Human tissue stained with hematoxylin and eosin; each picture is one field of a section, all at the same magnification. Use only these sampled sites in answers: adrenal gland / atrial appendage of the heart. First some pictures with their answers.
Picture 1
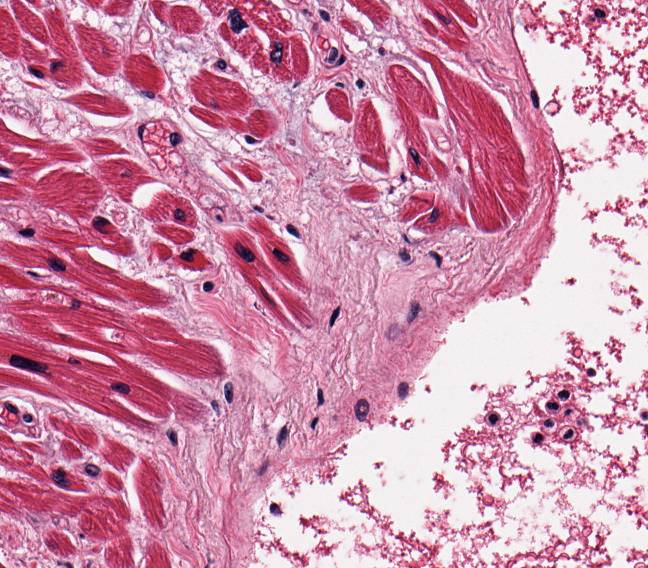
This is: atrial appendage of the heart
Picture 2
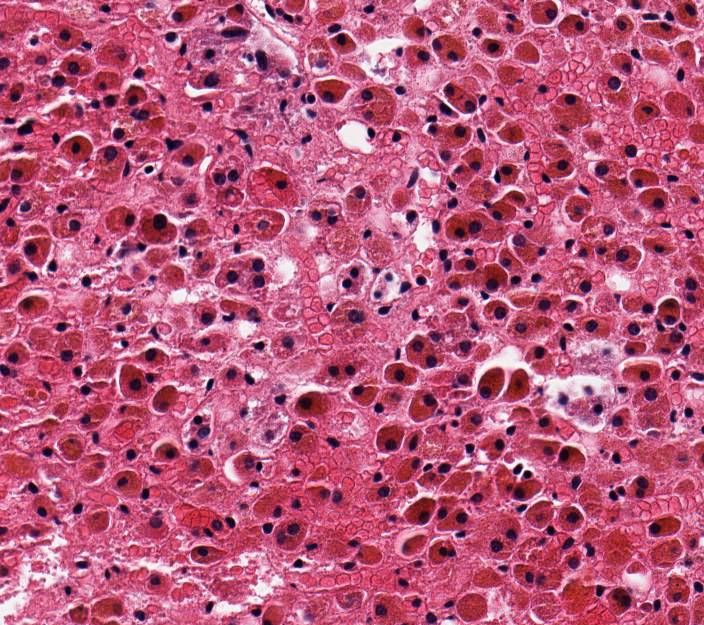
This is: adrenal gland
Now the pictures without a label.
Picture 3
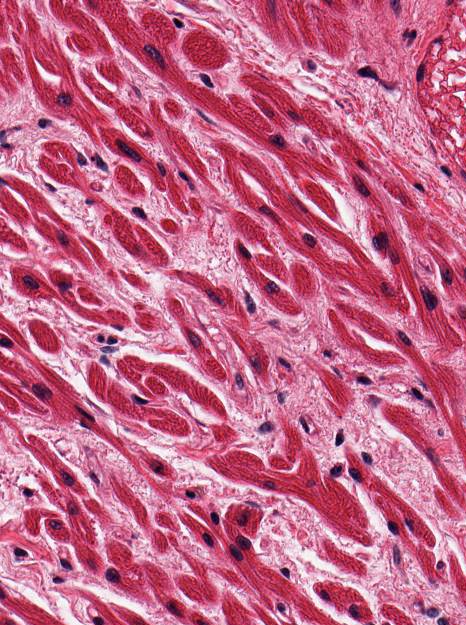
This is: atrial appendage of the heart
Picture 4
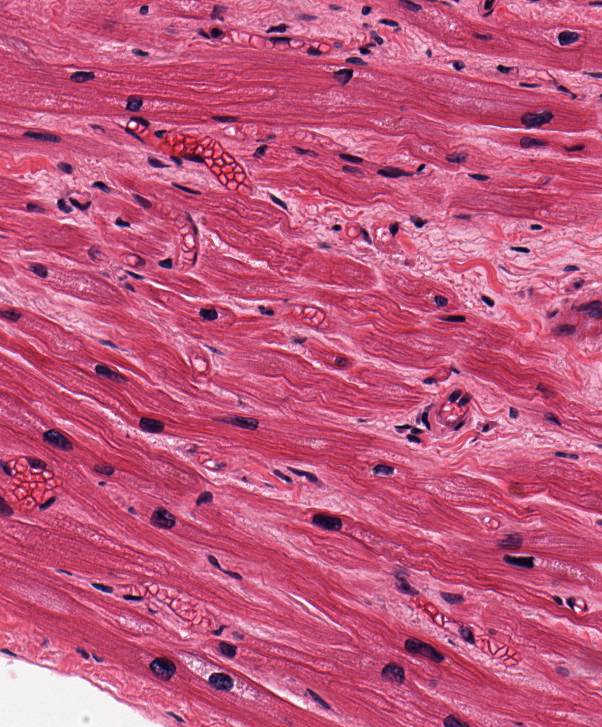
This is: atrial appendage of the heart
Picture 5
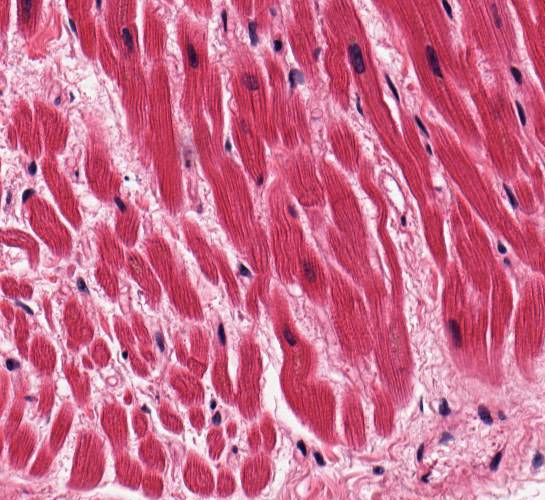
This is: atrial appendage of the heart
